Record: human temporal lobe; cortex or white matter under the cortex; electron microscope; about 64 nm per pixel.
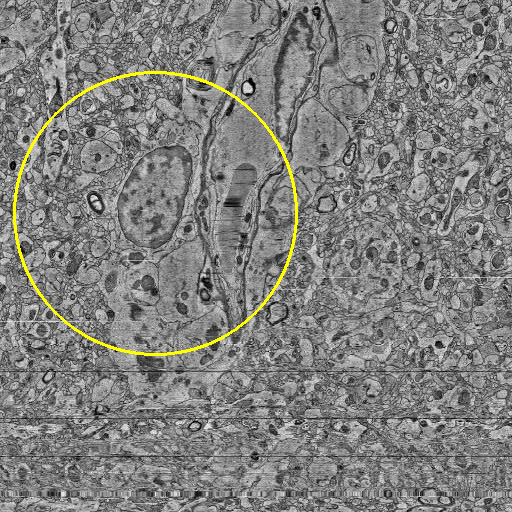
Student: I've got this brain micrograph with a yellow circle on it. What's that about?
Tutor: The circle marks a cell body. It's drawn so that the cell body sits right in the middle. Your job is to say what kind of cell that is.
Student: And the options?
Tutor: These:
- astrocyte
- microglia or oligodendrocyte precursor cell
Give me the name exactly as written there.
microglia or oligodendrocyte precursor cell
